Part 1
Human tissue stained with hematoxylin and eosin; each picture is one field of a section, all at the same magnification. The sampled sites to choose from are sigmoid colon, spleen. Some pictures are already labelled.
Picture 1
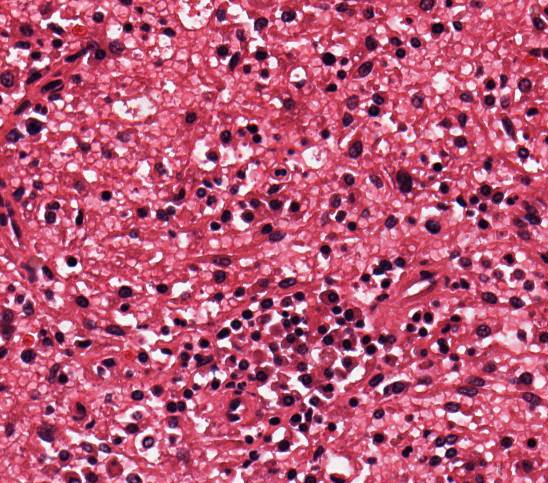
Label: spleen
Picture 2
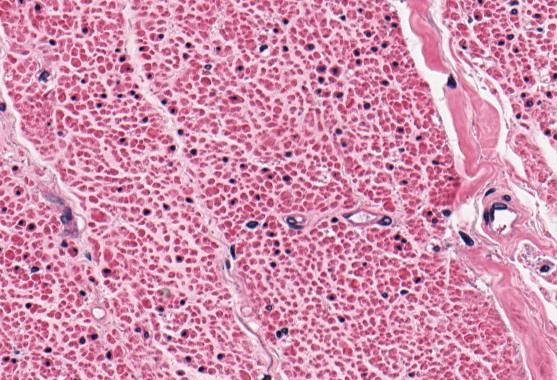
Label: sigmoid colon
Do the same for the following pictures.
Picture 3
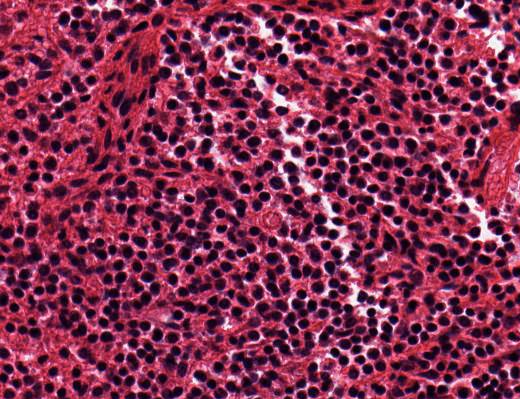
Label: spleen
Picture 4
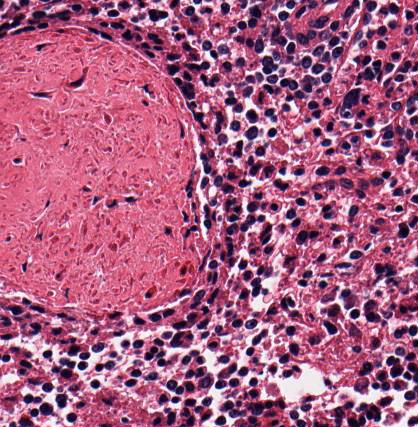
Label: spleen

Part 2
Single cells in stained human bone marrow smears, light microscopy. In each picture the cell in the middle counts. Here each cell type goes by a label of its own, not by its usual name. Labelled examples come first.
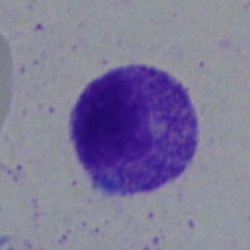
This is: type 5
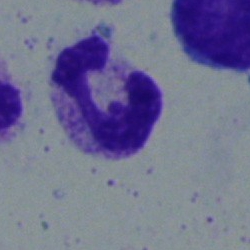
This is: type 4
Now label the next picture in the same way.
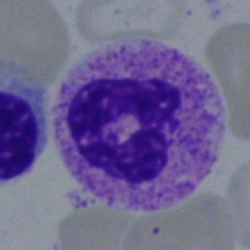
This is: type 4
